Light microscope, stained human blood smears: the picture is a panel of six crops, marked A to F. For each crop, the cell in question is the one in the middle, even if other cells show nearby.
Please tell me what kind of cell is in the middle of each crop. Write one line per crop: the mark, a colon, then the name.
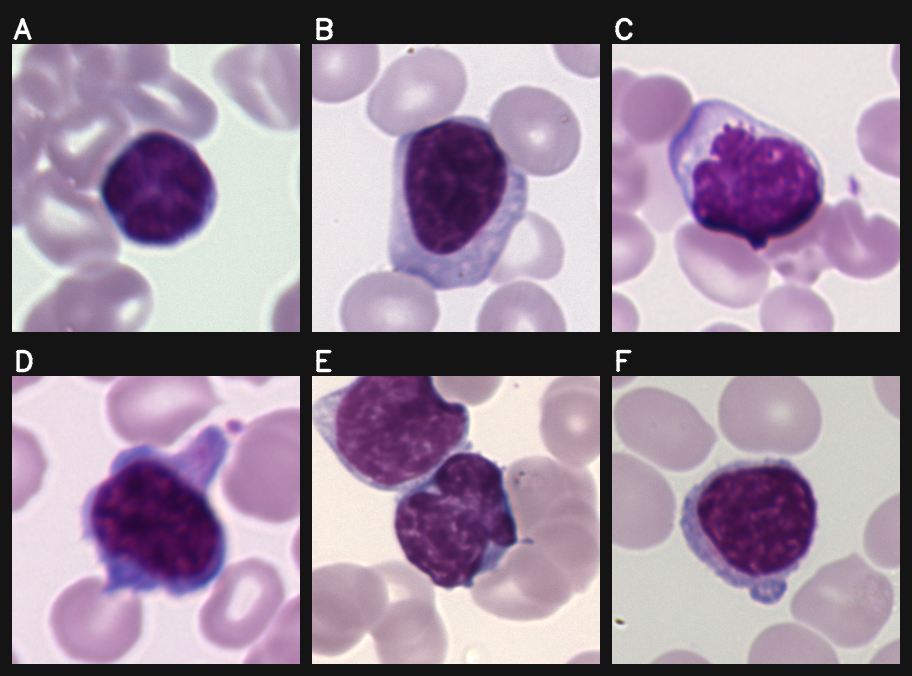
A: typical lymphocyte
B: typical lymphocyte
C: large granular lymphocyte
D: typical lymphocyte
E: large granular lymphocyte
F: typical lymphocyte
